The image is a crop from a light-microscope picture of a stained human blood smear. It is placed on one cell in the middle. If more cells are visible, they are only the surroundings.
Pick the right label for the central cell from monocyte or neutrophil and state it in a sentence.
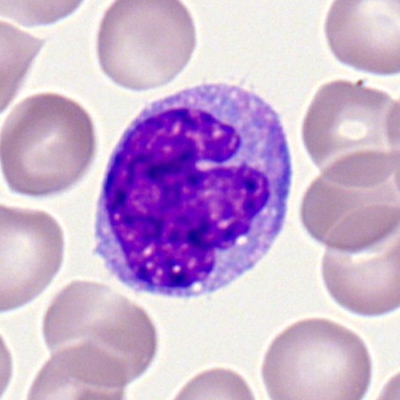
As for the cell in the middle, it is a monocyte.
